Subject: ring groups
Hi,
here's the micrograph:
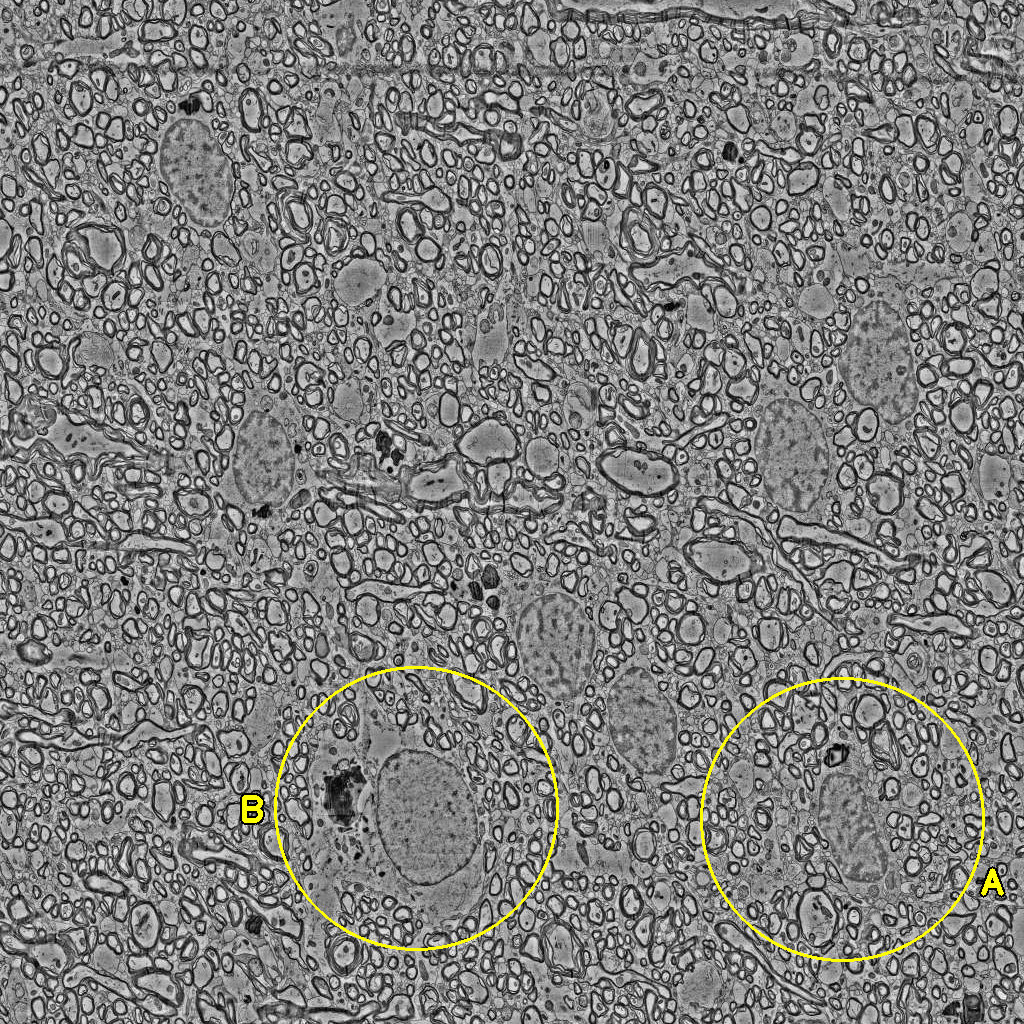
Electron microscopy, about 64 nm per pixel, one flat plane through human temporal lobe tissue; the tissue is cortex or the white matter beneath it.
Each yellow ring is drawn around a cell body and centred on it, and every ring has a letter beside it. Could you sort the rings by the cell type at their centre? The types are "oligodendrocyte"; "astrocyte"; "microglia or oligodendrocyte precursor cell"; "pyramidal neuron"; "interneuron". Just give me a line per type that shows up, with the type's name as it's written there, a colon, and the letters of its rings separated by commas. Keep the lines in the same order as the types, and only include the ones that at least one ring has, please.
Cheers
oligodendrocyte: A
astrocyte: B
